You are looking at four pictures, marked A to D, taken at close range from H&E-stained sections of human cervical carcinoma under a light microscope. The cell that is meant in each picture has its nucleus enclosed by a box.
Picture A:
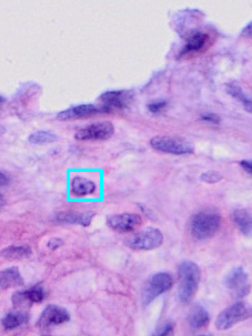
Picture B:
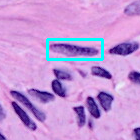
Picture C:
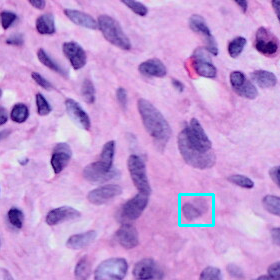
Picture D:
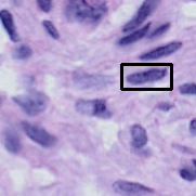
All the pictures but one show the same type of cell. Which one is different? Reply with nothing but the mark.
A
